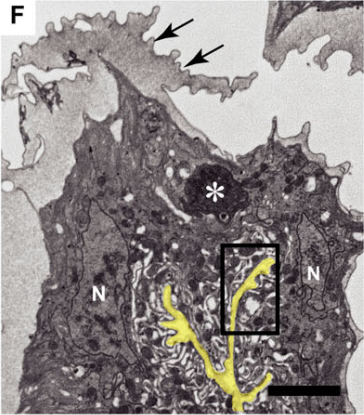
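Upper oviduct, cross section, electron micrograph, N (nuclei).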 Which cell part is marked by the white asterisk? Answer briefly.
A: Granule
